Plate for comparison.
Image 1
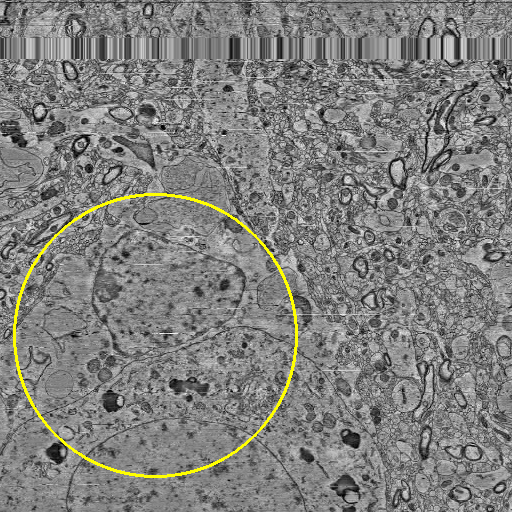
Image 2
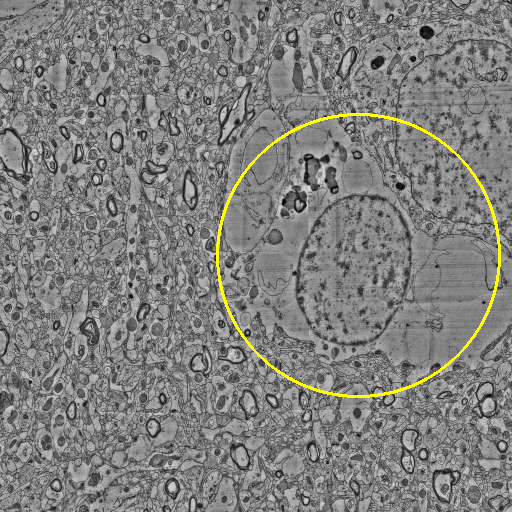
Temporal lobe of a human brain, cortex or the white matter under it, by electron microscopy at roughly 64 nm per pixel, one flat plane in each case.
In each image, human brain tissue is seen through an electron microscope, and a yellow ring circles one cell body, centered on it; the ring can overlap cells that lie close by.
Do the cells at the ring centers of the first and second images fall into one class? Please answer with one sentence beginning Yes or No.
Yes, the first and second images show a single class of cell at the ring centers.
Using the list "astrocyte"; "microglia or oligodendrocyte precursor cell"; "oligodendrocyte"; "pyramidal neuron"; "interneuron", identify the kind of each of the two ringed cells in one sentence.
Each one of the two ringed cells is an astrocyte.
